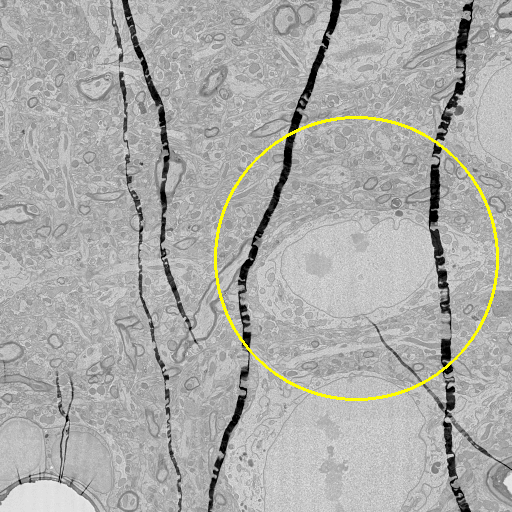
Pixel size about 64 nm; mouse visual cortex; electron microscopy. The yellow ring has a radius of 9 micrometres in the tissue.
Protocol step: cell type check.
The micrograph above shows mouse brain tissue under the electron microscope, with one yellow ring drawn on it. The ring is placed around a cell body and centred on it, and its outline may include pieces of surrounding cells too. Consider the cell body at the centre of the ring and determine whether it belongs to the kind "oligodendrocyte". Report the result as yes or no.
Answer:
no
